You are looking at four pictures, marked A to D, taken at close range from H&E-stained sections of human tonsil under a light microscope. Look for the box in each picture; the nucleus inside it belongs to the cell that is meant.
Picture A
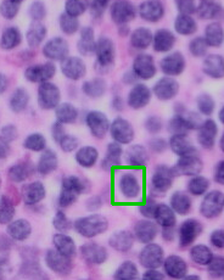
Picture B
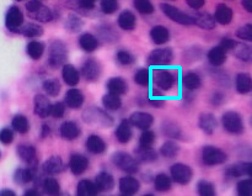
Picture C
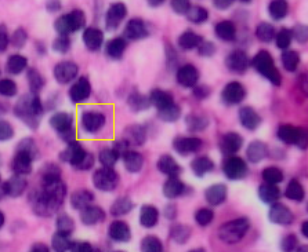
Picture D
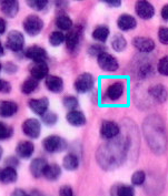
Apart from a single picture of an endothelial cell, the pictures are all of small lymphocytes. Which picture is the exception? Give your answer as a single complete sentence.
The endothelial cell is the one in picture D.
